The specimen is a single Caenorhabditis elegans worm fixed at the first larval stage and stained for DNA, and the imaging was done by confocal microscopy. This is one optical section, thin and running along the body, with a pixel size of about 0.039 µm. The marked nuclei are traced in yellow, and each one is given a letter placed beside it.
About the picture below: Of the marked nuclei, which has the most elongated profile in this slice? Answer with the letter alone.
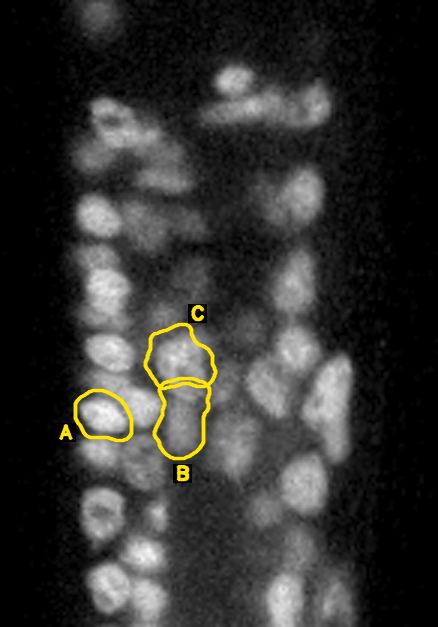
B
